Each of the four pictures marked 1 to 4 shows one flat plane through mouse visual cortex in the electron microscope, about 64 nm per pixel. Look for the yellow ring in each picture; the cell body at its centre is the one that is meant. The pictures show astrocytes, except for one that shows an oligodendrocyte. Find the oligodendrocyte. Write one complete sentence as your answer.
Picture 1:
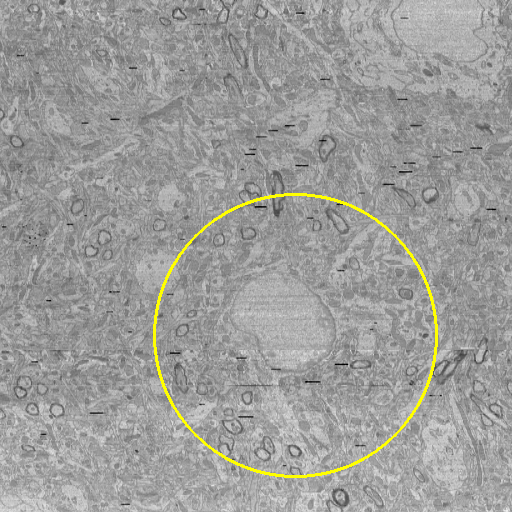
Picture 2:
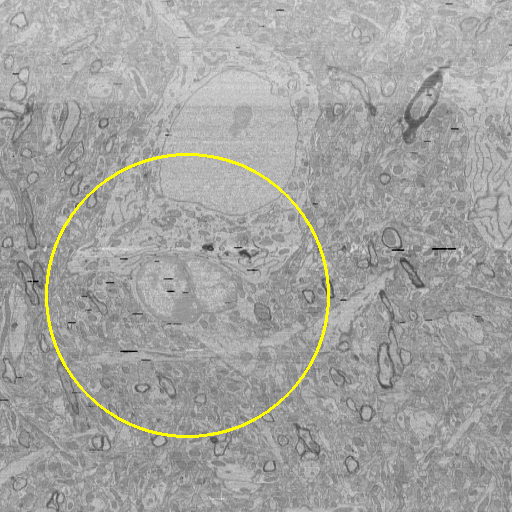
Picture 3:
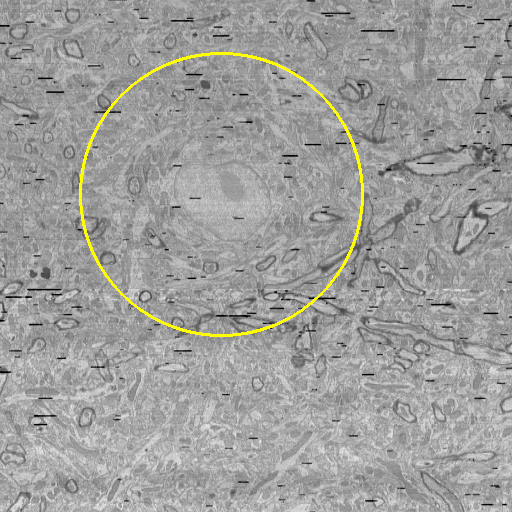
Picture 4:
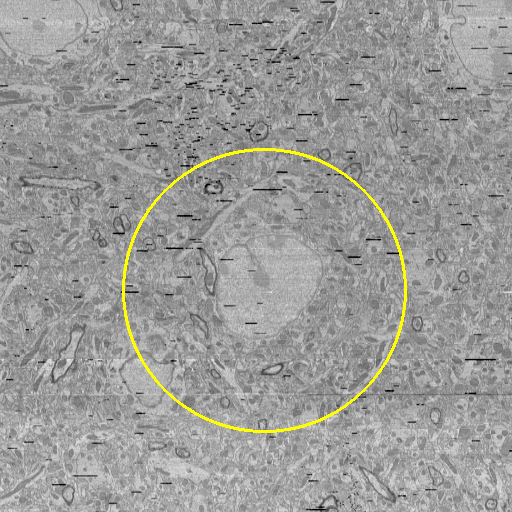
The picture with the oligodendrocyte is 2.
